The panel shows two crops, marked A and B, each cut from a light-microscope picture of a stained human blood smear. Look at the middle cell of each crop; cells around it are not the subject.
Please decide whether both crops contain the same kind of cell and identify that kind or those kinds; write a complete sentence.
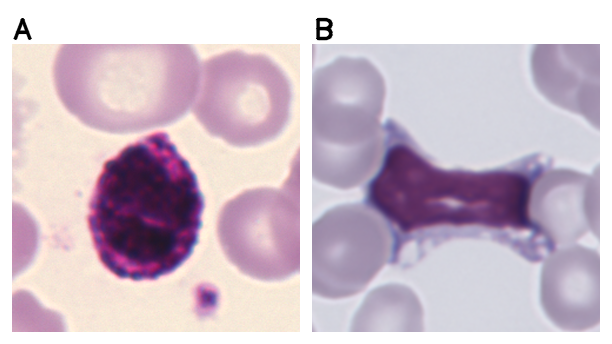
No, the cell centred in crop A is a basophil, and that centred in crop B is a typical lymphocyte.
